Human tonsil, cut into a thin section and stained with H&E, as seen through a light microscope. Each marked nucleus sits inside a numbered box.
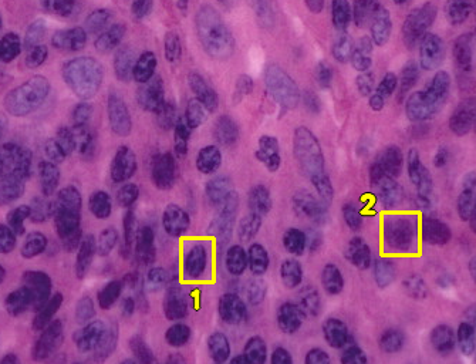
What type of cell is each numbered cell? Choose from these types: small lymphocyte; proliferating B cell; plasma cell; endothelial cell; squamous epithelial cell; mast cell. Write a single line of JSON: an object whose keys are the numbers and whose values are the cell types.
{"1": "plasma cell", "2": "squamous epithelial cell"}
